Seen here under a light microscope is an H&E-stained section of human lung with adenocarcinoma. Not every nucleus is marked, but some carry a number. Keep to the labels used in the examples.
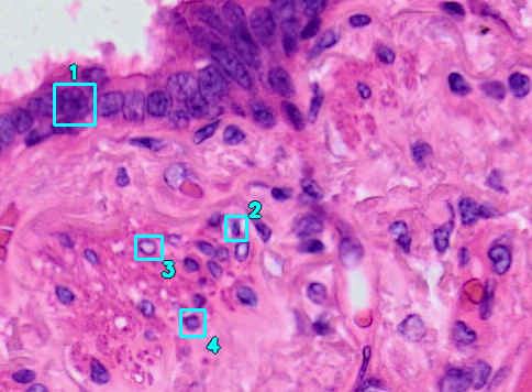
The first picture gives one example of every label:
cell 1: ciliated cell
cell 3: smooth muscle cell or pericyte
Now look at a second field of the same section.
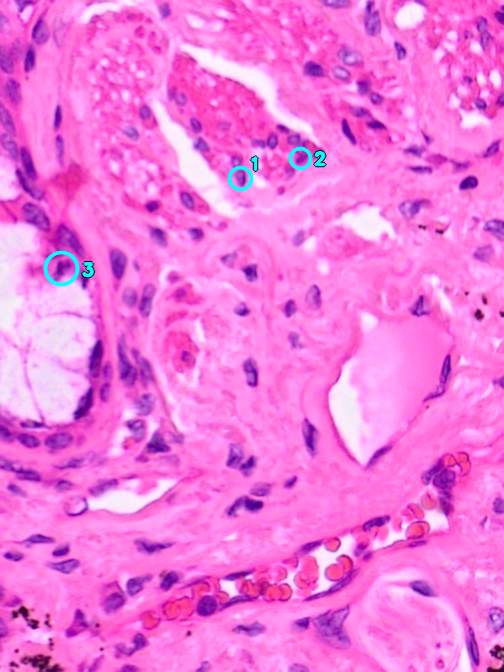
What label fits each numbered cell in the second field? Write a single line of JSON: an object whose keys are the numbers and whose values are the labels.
{"1": "smooth muscle cell or pericyte", "2": "smooth muscle cell or pericyte", "3": "ciliated cell"}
